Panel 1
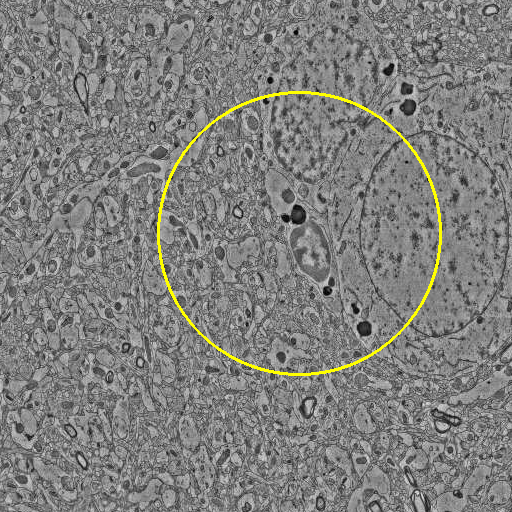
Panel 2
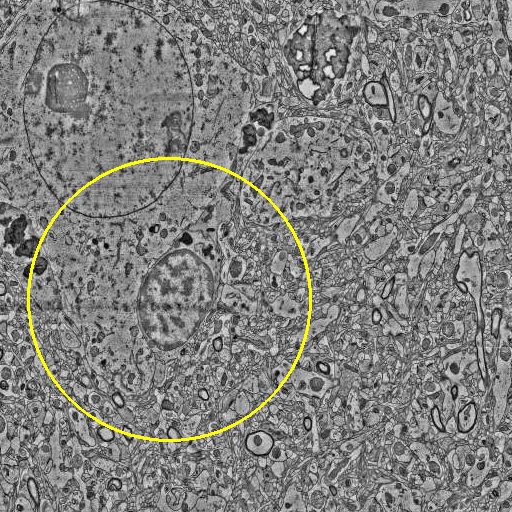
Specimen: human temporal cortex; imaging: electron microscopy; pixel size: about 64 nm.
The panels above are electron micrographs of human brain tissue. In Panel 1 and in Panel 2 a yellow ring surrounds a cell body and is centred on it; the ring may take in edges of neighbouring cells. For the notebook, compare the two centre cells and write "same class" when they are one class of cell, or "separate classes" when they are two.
separate classes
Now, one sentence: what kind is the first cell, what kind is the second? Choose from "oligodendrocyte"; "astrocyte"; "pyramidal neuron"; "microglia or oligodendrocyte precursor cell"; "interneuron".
The first picture has a microglial cell or oligodendrocyte precursor cell at its ring centre, and the second has an oligodendrocyte.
